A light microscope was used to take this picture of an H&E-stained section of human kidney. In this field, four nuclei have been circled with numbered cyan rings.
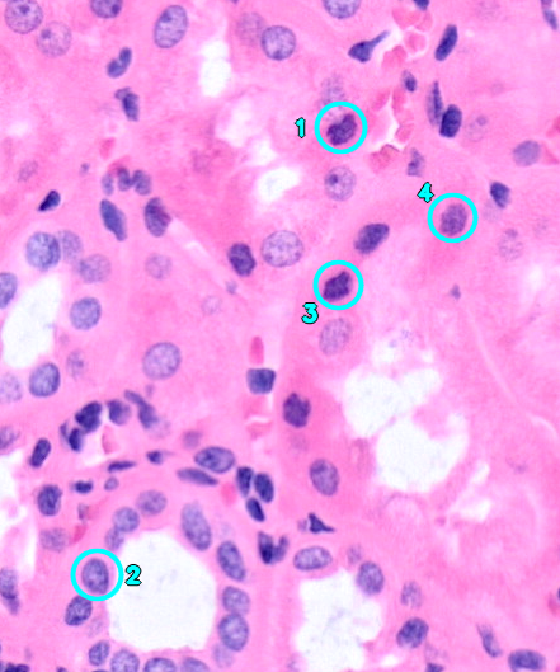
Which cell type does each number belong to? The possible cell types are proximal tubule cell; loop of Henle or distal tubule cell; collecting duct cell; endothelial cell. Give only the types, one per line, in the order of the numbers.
proximal tubule cell
collecting duct cell
proximal tubule cell
proximal tubule cell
